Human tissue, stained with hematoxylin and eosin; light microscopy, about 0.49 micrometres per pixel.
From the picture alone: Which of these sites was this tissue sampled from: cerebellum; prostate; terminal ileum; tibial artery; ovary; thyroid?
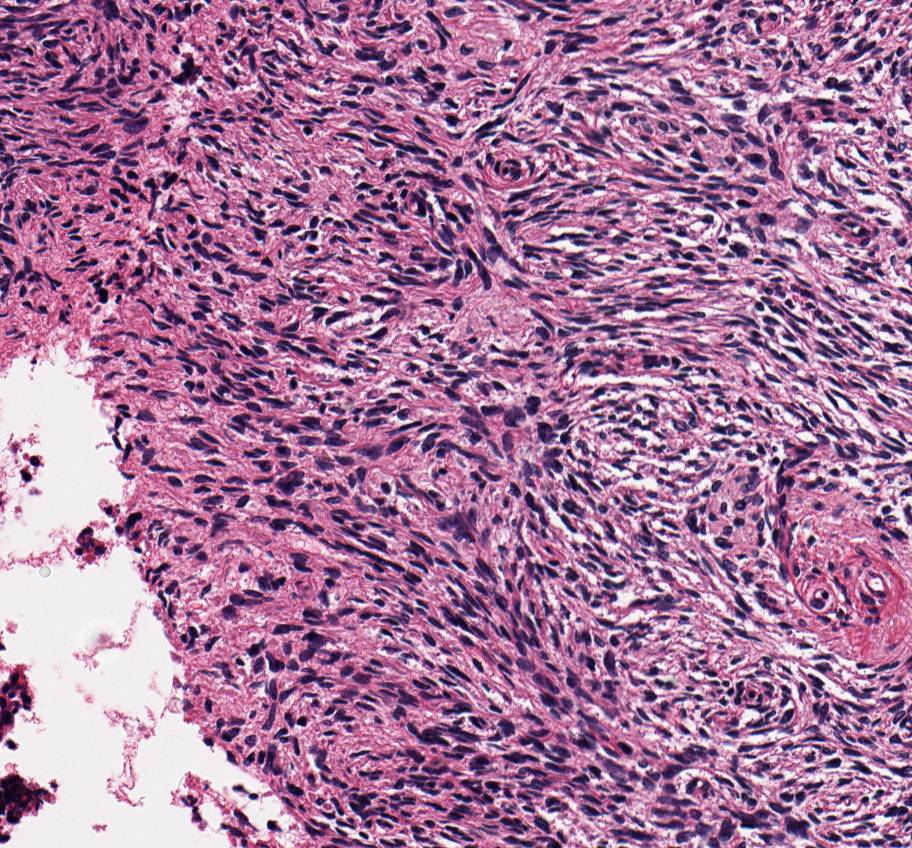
ovary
